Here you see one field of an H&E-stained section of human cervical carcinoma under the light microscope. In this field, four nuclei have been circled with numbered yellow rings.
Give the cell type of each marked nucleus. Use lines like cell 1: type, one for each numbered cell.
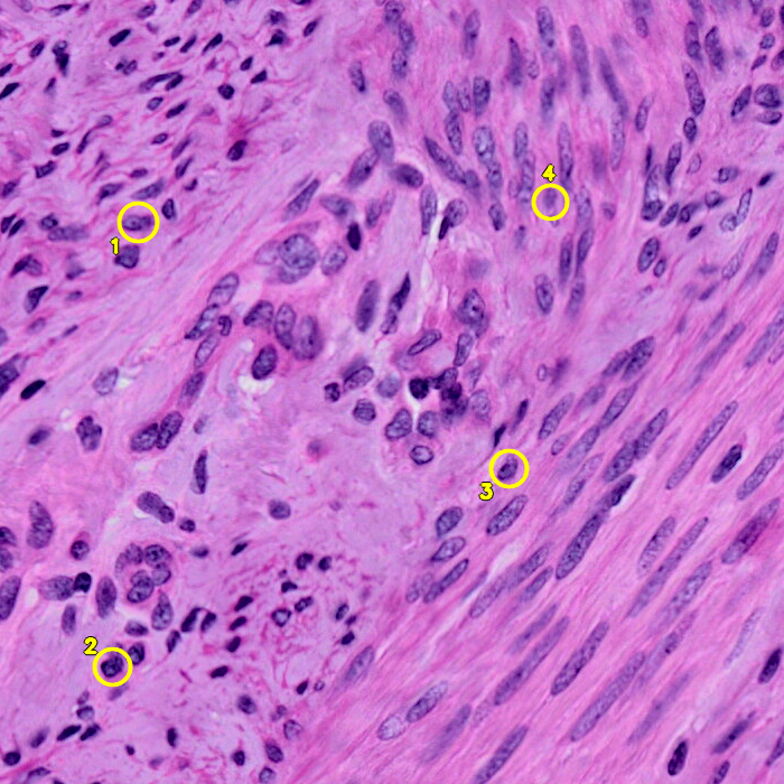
cell 1: smooth muscle cell
cell 2: endothelial cell
cell 3: smooth muscle cell
cell 4: smooth muscle cell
